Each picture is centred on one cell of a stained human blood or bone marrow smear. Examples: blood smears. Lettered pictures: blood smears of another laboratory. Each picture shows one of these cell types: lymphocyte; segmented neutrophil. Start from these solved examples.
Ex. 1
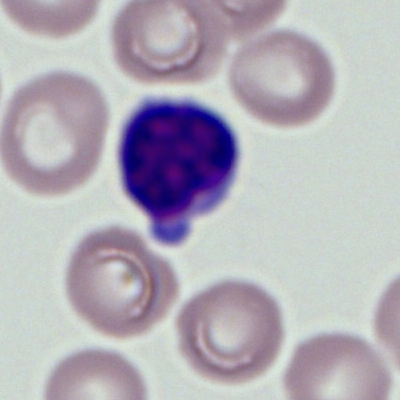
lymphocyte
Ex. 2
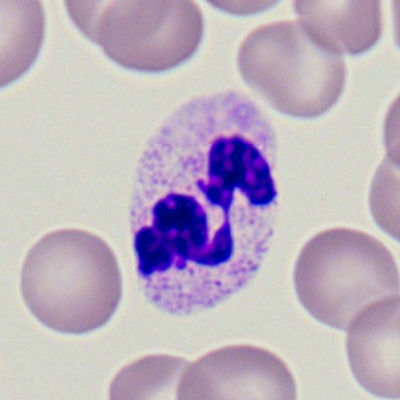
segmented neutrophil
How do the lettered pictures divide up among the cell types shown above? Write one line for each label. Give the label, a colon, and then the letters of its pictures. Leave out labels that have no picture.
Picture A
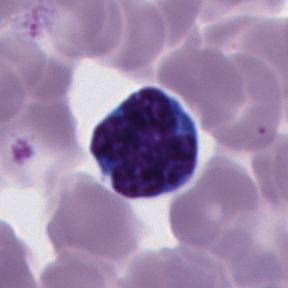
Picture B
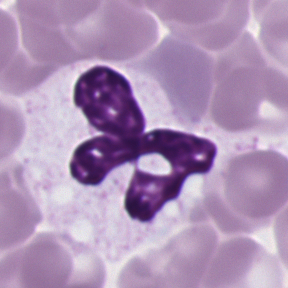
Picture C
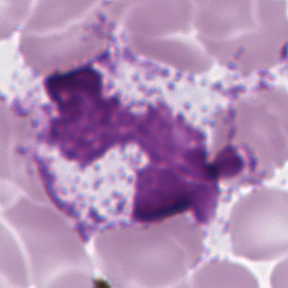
lymphocyte: A
segmented neutrophil: B, C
